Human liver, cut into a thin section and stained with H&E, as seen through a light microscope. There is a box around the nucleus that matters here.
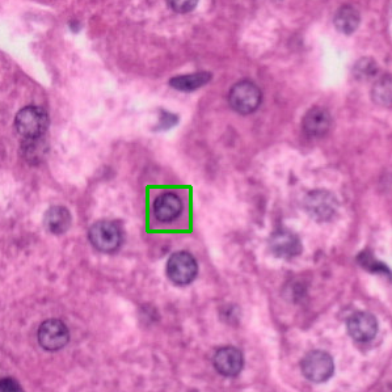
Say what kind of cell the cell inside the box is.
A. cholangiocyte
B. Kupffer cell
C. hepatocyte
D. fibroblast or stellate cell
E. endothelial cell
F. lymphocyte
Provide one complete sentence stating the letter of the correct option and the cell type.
In agreement with option C, the cell inside the box is a hepatocyte.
